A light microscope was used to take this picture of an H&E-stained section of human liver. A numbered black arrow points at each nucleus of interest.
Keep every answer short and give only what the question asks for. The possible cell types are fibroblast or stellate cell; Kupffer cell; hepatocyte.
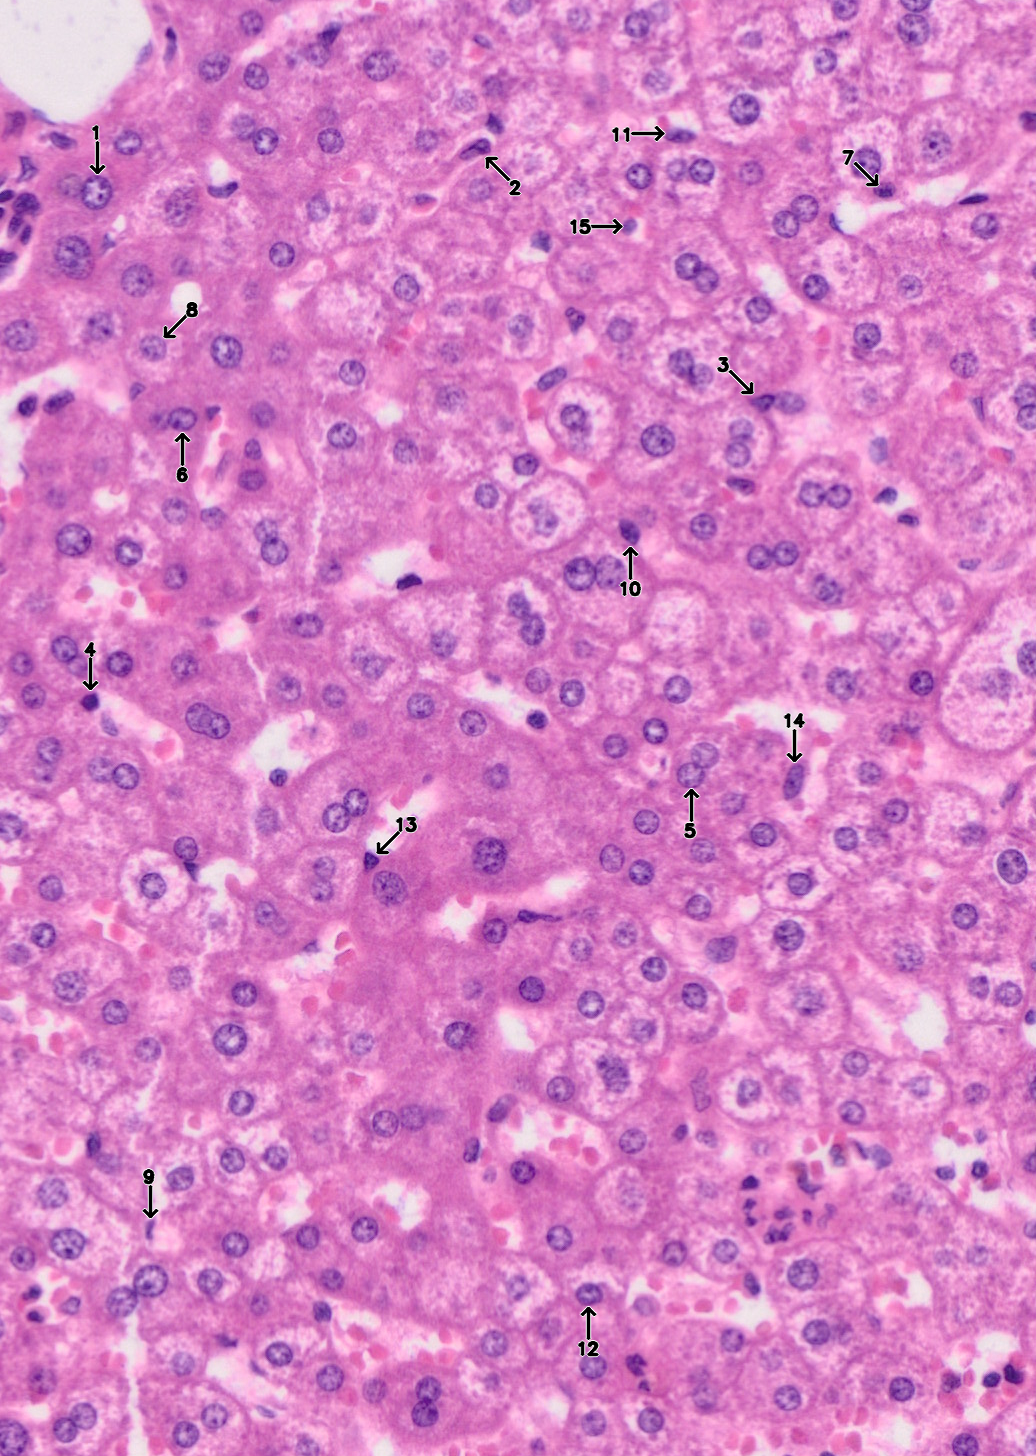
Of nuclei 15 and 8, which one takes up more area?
8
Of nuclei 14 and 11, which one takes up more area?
14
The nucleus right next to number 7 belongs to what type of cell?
hepatocyte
